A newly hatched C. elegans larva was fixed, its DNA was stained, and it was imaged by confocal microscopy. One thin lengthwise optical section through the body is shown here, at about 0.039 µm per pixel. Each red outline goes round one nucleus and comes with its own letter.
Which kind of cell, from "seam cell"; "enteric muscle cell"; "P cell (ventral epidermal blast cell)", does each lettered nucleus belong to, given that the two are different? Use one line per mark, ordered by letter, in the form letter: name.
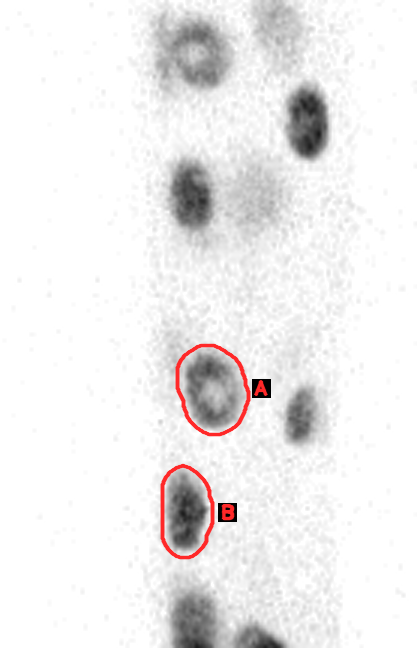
A: seam cell
B: enteric muscle cell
